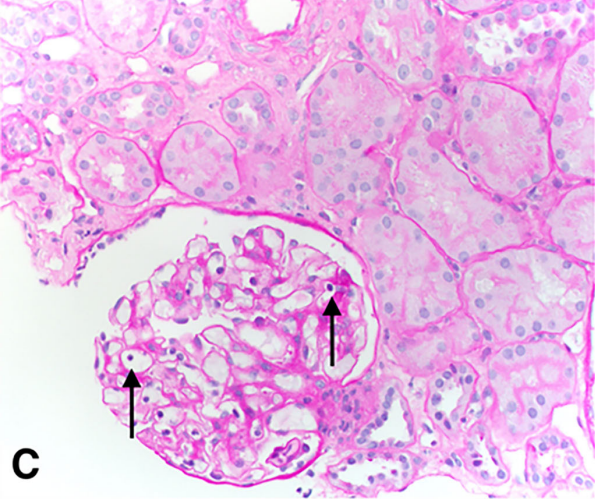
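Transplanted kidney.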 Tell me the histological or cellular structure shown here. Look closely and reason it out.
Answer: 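A rounded tuft of capillary loops sits at lower left within a thin capsule. Tubules with magenta-outlined basement membranes surround it. That points to this answer: Glomerulus.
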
